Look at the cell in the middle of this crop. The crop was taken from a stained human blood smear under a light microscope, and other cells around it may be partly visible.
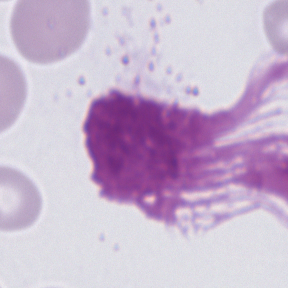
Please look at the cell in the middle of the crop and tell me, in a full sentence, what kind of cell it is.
The cell at the central position in this crop is a smudge cell.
